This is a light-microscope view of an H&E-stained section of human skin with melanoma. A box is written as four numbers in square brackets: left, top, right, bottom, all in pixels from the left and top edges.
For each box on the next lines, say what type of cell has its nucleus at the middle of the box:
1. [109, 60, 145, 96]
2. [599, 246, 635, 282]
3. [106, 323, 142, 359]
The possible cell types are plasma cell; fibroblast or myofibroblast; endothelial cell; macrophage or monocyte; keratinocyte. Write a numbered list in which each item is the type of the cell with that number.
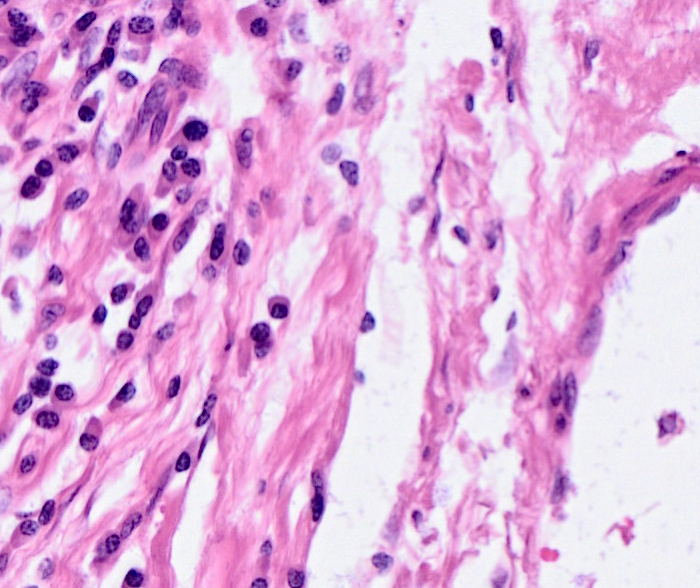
1. plasma cell
2. endothelial cell
3. plasma cell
